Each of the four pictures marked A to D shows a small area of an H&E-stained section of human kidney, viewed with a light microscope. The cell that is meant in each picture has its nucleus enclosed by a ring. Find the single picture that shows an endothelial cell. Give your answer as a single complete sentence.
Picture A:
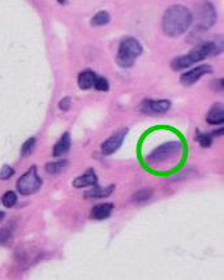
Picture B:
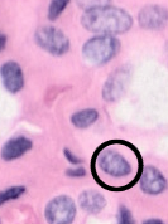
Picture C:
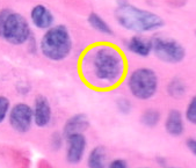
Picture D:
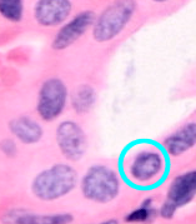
The cell in picture A is the endothelial cell.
